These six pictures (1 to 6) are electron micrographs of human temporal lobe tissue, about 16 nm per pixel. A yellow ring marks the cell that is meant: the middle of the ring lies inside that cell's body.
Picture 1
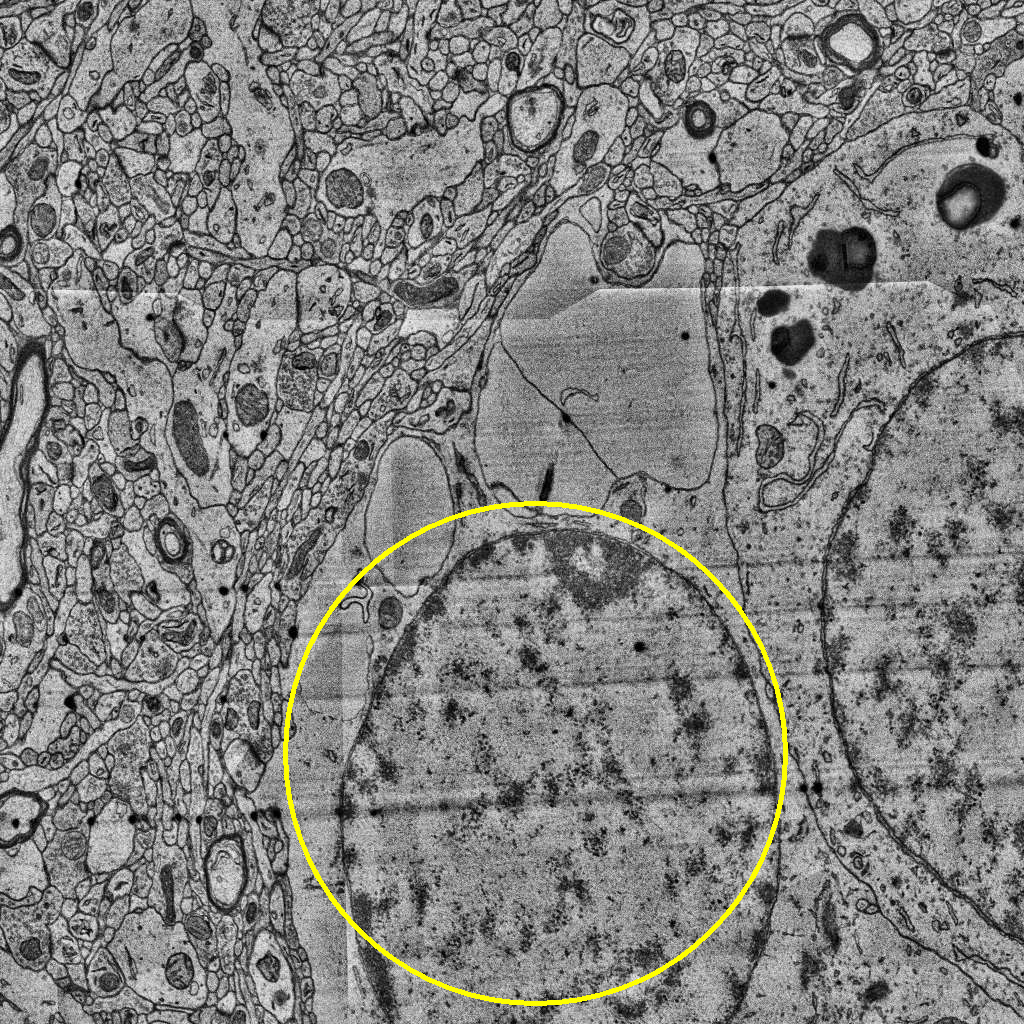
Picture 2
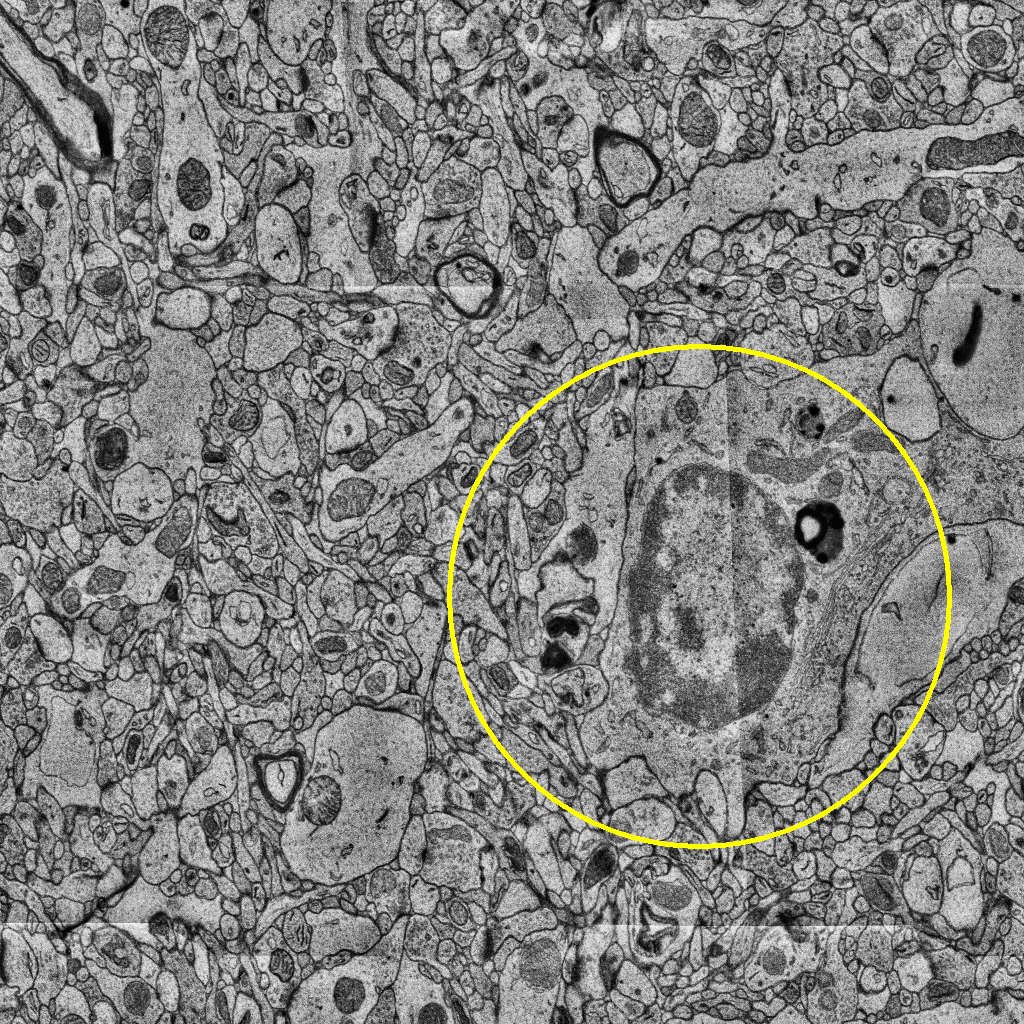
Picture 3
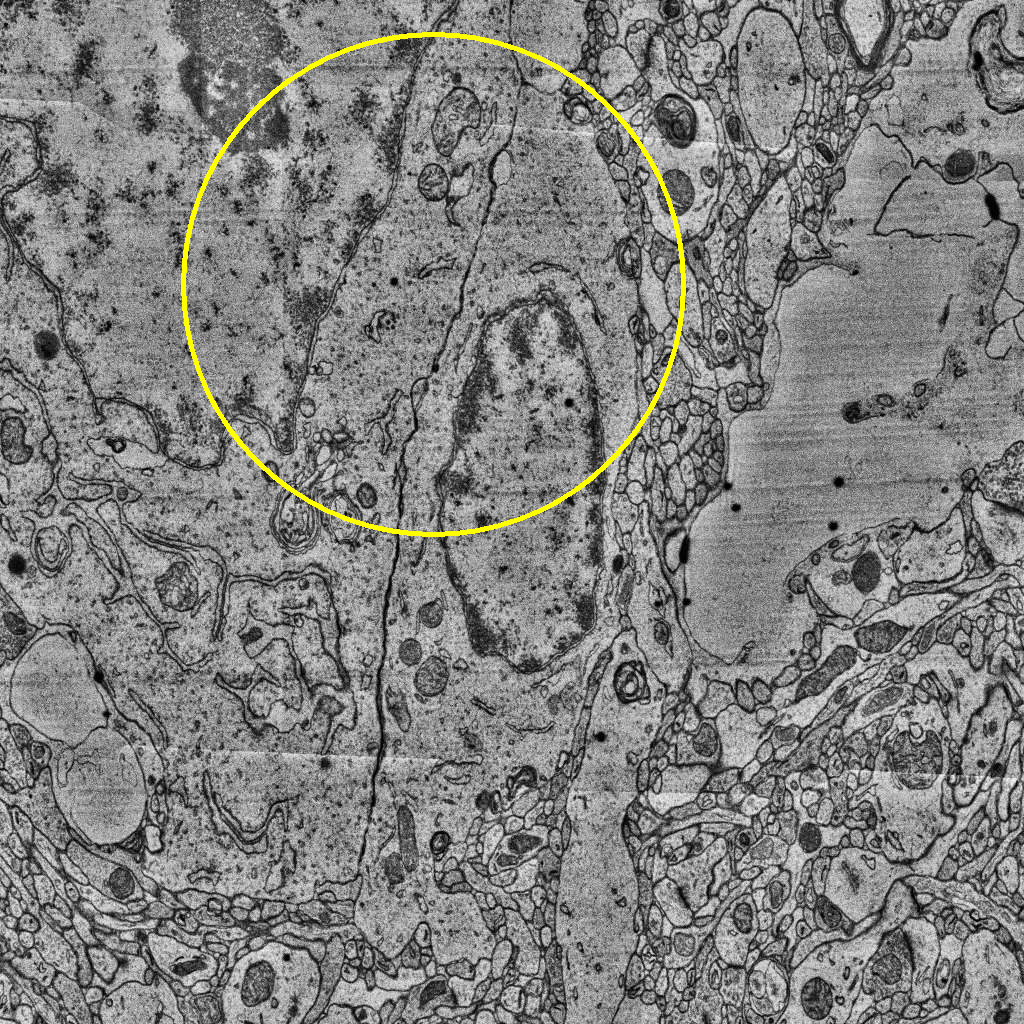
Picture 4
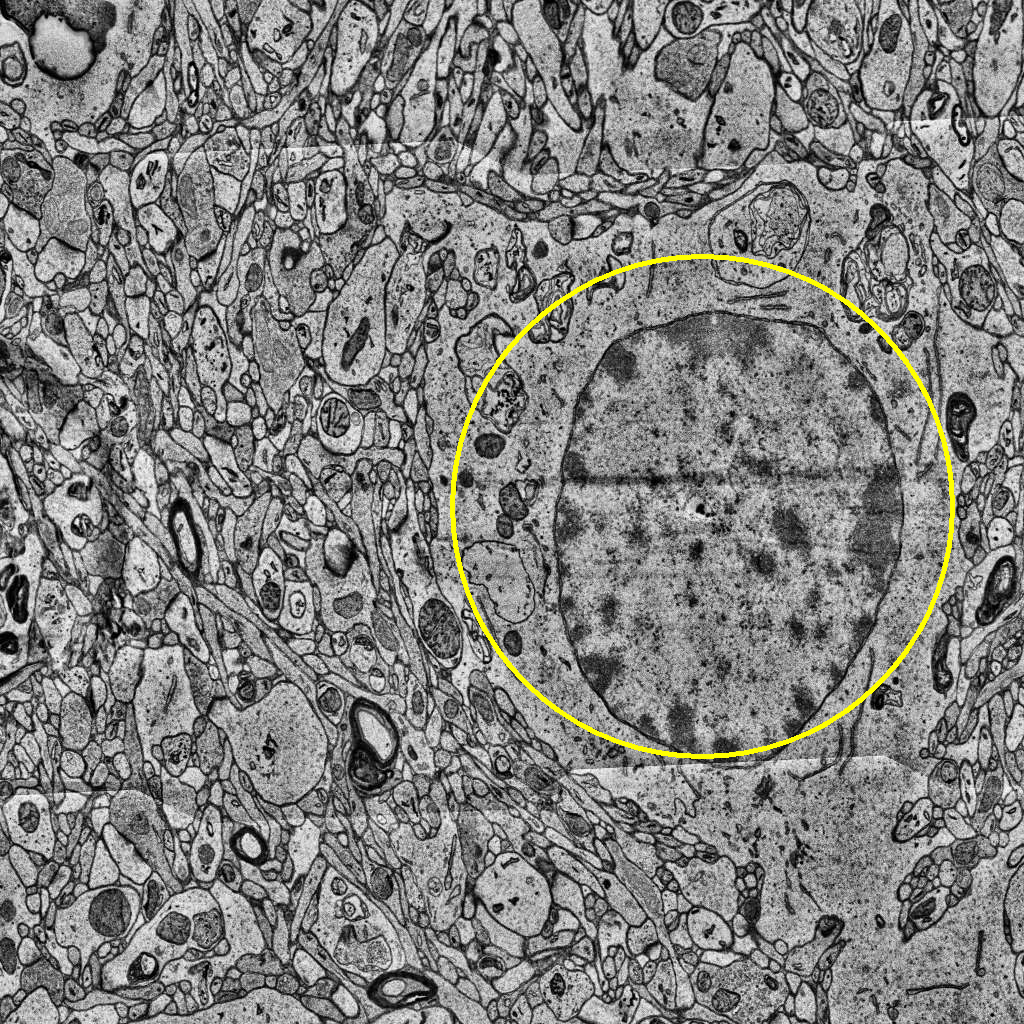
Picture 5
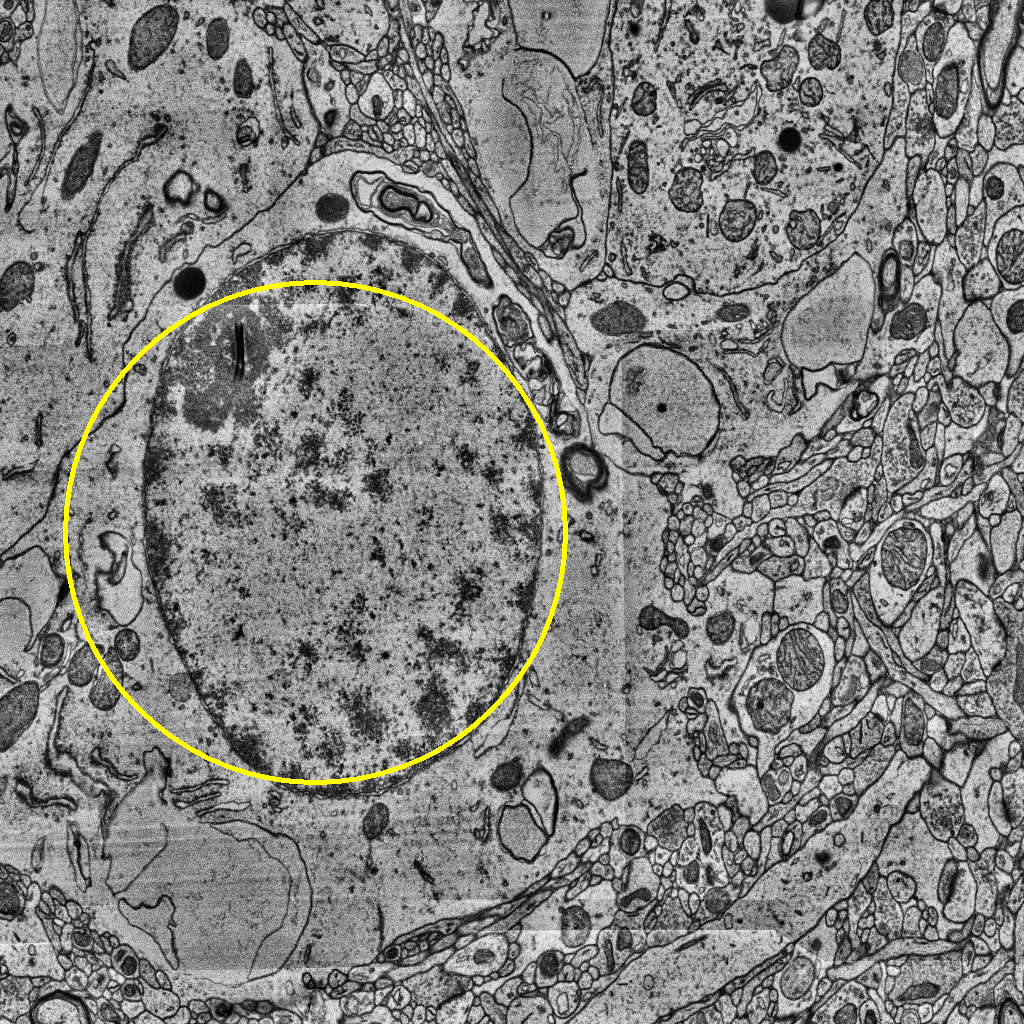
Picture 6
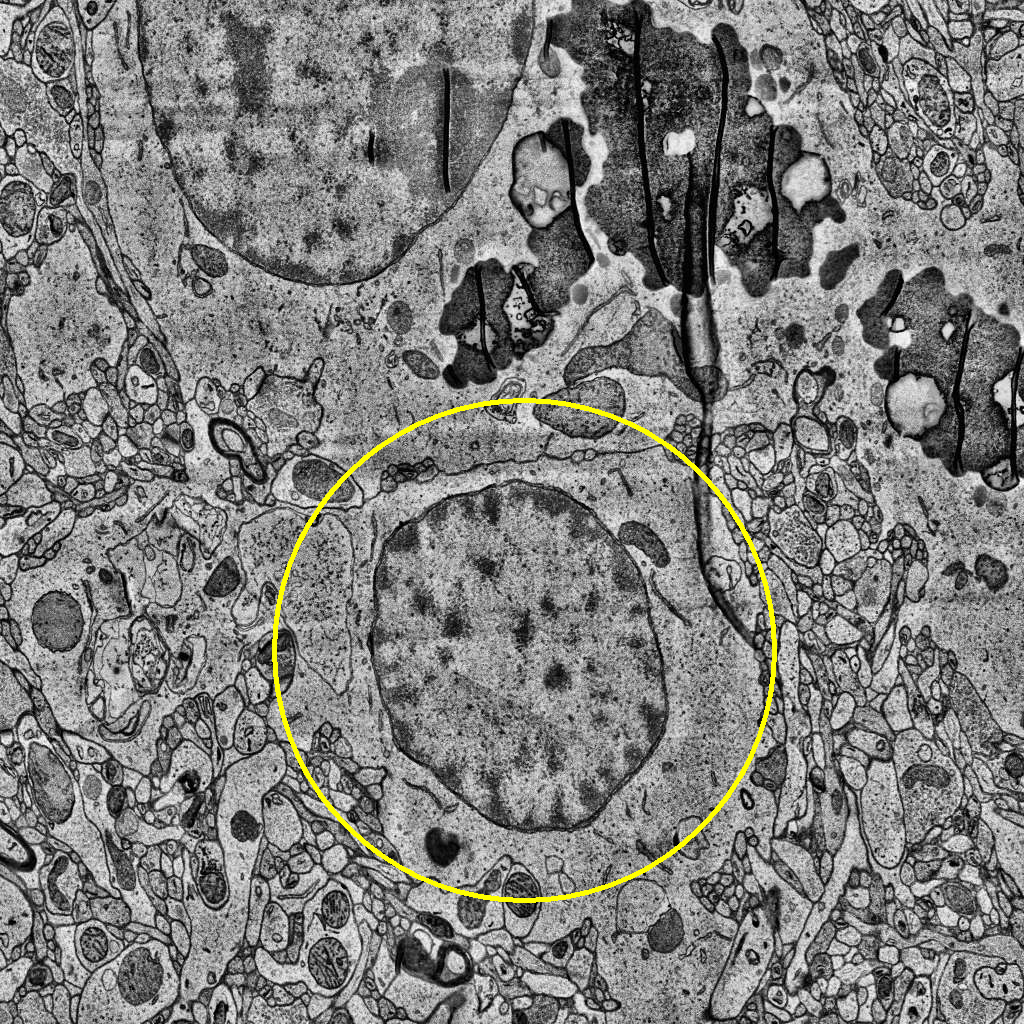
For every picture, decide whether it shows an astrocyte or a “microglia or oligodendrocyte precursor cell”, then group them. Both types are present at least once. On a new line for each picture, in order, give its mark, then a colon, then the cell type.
1: astrocyte
2: microglia or oligodendrocyte precursor cell
3: microglia or oligodendrocyte precursor cell
4: astrocyte
5: astrocyte
6: astrocyte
